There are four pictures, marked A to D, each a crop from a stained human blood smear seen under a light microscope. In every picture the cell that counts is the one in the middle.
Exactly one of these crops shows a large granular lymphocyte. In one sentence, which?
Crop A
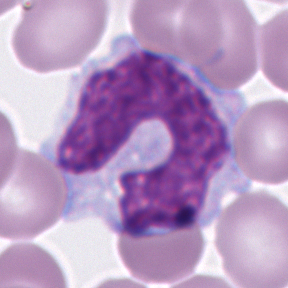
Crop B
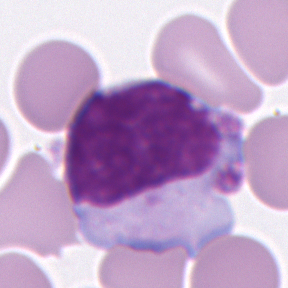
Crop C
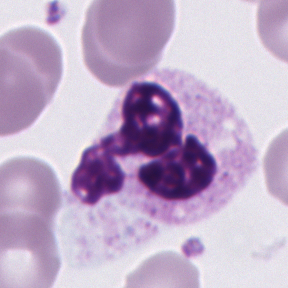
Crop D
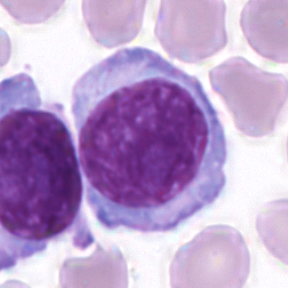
Crop B, of the crops presented, is the one showing a large granular lymphocyte.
